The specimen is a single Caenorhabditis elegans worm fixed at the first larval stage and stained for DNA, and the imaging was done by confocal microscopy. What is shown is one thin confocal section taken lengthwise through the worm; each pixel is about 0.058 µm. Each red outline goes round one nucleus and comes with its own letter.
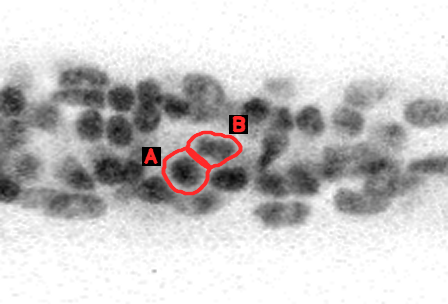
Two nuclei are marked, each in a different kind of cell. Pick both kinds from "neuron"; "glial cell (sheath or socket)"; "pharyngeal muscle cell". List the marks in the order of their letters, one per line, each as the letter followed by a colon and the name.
A: neuron
B: pharyngeal muscle cell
